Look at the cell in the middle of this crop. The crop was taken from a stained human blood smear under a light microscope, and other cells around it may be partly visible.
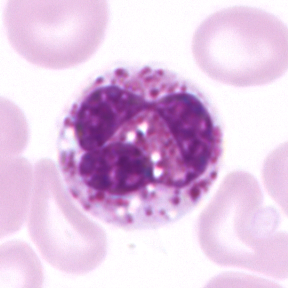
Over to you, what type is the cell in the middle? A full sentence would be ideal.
The target cell in the middle of the crop is an eosinophil.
